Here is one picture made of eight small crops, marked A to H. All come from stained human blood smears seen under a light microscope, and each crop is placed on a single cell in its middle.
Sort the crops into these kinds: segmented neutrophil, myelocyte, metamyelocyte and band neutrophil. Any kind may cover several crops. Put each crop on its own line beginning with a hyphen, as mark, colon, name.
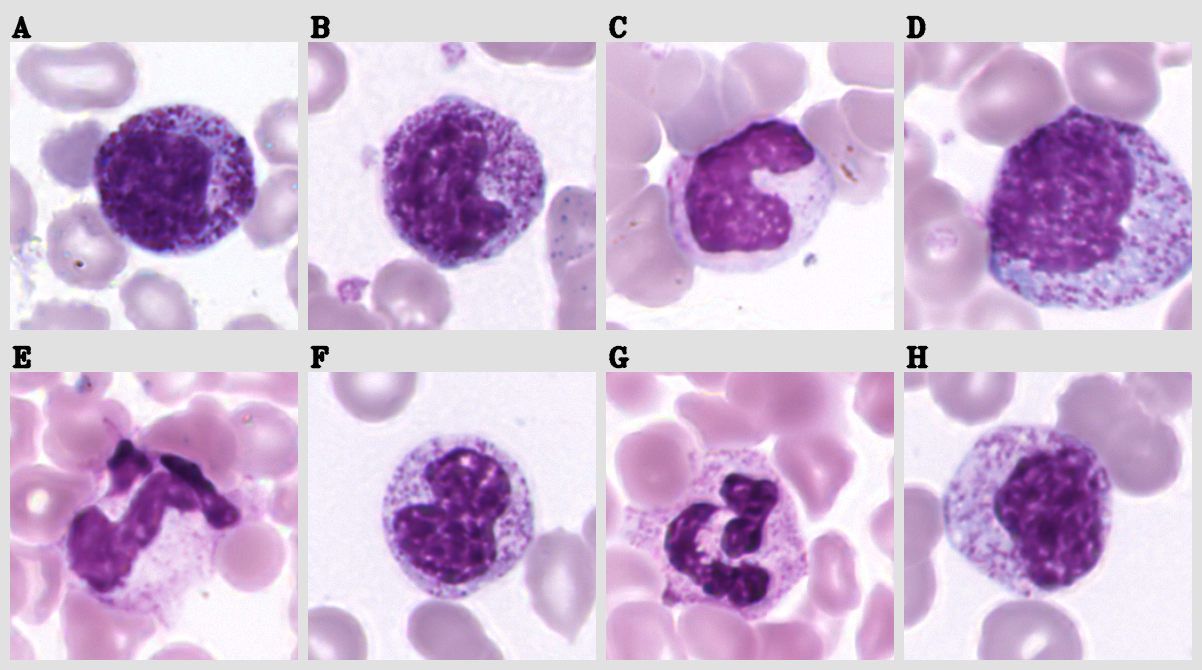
- A: myelocyte
- B: metamyelocyte
- C: band neutrophil
- D: myelocyte
- E: segmented neutrophil
- F: metamyelocyte
- G: segmented neutrophil
- H: metamyelocyte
